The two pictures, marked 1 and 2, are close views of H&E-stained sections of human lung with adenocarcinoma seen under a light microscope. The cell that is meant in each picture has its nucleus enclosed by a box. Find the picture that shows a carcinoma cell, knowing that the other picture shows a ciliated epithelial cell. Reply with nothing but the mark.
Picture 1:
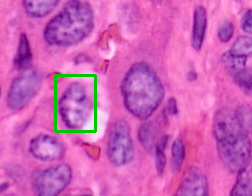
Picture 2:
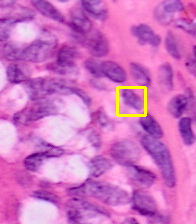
1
